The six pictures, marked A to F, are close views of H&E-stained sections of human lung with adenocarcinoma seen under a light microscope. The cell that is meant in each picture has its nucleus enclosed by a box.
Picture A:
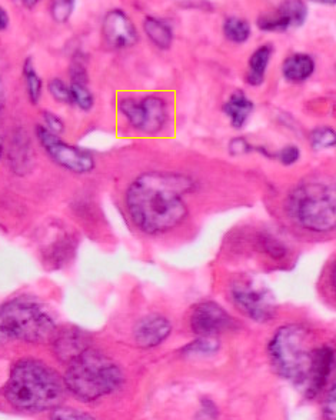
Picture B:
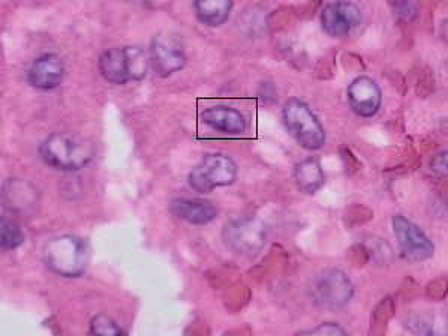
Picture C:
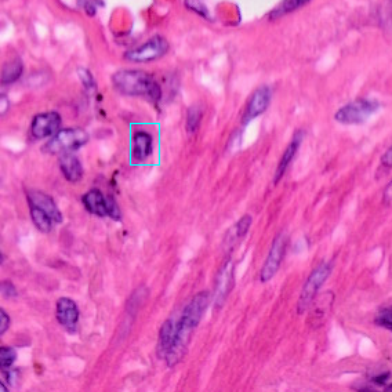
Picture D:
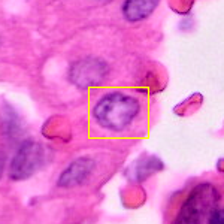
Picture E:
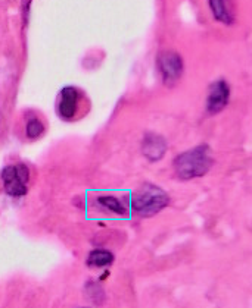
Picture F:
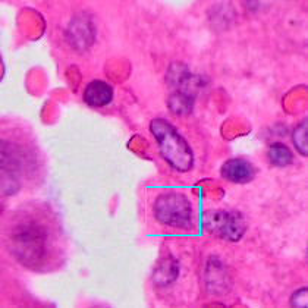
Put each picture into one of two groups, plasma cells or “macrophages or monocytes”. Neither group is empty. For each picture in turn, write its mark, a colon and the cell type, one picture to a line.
A: macrophage or monocyte
B: macrophage or monocyte
C: plasma cell
D: macrophage or monocyte
E: plasma cell
F: macrophage or monocyte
